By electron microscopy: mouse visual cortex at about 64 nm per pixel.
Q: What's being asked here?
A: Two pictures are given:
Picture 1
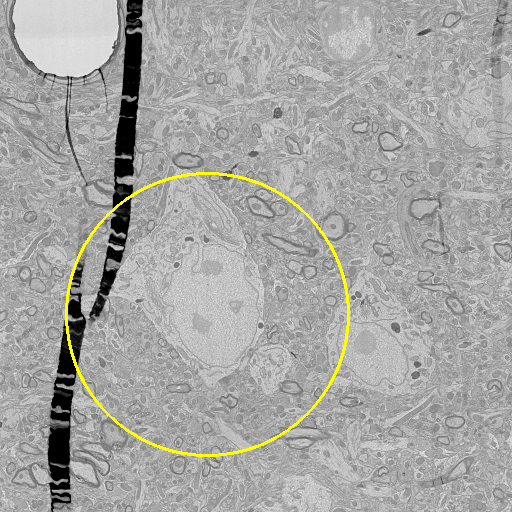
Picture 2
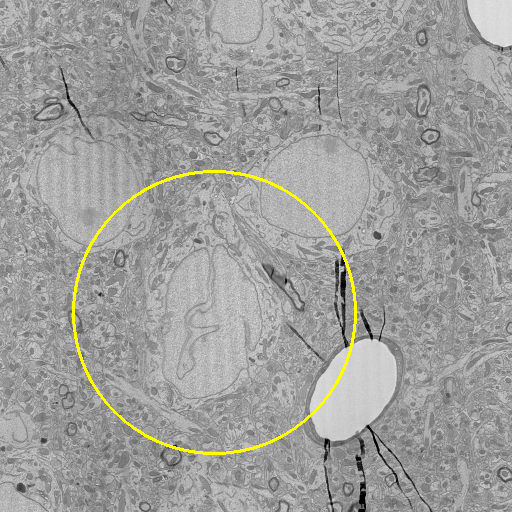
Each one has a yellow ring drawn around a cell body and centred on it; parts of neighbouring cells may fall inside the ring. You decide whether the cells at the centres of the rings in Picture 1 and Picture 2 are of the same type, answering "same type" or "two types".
same type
